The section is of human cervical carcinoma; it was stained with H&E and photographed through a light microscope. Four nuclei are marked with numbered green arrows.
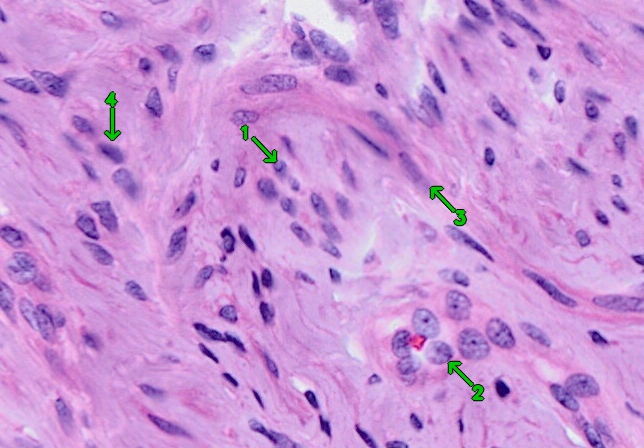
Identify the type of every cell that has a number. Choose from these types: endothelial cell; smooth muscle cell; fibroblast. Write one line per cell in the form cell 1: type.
cell 1: smooth muscle cell
cell 2: endothelial cell
cell 3: smooth muscle cell
cell 4: fibroblast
